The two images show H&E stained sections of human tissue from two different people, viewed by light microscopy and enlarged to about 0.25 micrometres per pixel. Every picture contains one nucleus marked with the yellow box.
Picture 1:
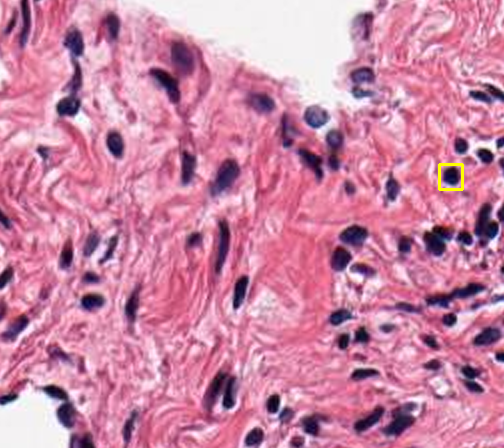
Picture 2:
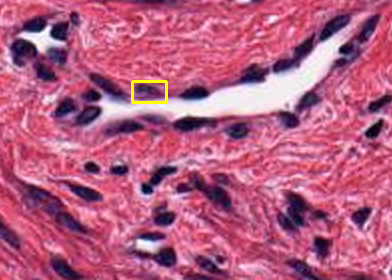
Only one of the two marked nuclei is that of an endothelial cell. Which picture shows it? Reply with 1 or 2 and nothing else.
2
